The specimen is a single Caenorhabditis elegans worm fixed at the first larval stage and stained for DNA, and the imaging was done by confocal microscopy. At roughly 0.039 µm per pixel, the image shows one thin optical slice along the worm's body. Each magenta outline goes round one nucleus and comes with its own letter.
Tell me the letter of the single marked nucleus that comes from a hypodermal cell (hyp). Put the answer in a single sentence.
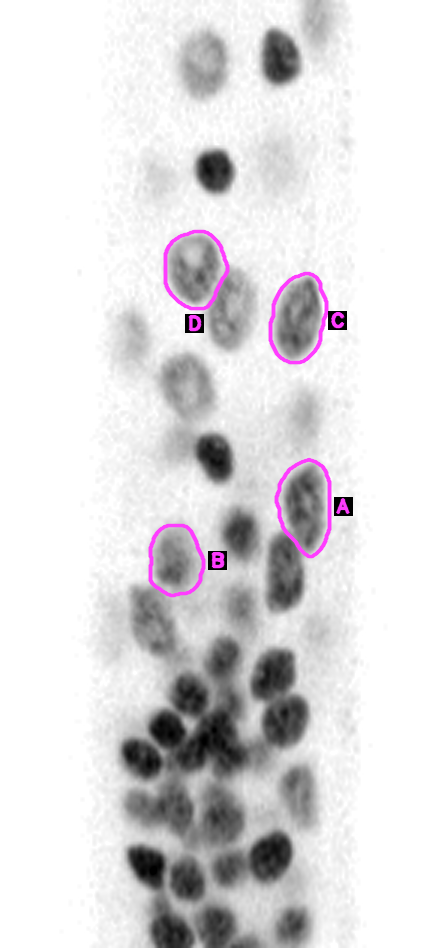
The nucleus of a hypodermal cell (hyp) is D.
